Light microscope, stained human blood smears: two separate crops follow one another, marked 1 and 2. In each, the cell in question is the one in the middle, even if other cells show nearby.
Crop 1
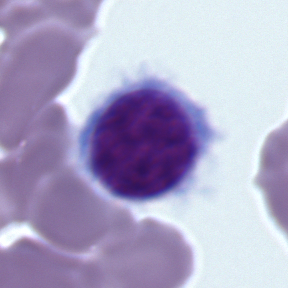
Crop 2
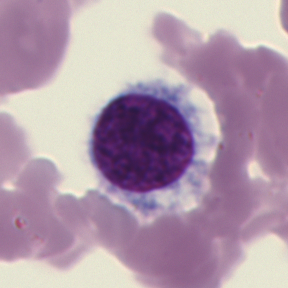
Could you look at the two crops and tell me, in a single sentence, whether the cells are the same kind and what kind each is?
Yes, the two central cells, one per crop, are hairy cells.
